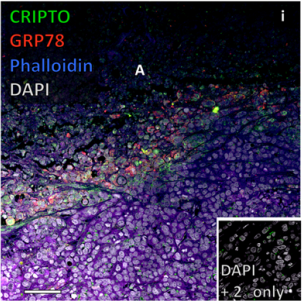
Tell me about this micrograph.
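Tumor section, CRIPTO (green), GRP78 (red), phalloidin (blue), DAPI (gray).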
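The lower part is densely cellular tumour, crowded with round gray nuclei, while the upper part is a dark zone with few nuclei, an acellular region. Along the border between the two runs a band of cells showing green and red dots, spread among fibre-like blue strands. Deeper in the cellular mass this coloured speckling is much sparser.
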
